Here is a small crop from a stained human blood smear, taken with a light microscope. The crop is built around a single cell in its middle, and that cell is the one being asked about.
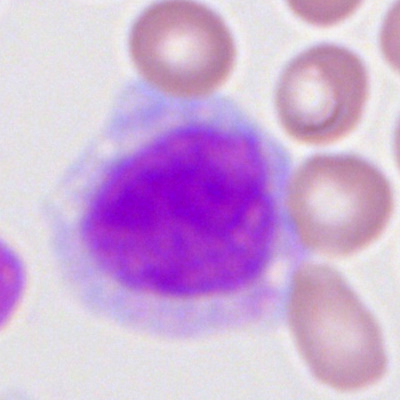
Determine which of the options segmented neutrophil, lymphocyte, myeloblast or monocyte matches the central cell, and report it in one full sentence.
Positioned in the middle of the crop is a monocyte.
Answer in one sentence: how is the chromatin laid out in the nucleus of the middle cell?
Coarse clumps are absent, and the chromatin is fine throughout.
